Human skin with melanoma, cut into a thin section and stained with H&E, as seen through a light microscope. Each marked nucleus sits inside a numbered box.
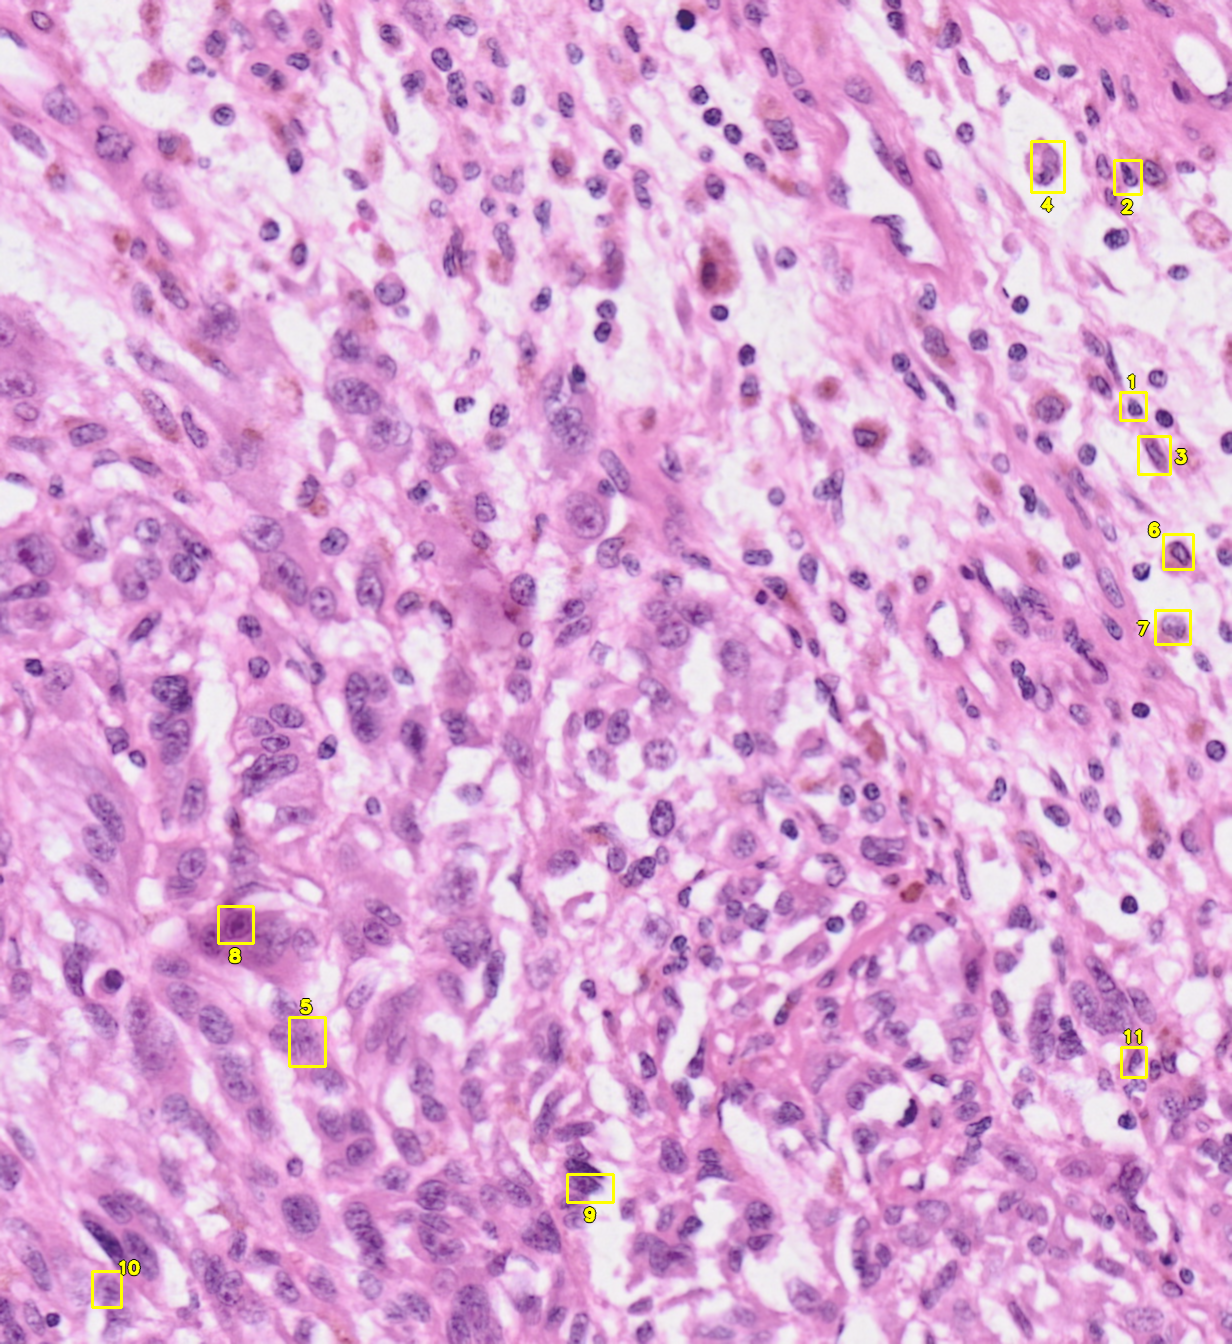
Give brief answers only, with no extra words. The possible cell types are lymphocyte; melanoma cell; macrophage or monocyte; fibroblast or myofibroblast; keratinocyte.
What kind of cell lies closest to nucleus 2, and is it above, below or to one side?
a macrophage or monocyte; to the right of nucleus 2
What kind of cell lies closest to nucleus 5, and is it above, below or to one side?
a melanoma cell; to the left of nucleus 5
